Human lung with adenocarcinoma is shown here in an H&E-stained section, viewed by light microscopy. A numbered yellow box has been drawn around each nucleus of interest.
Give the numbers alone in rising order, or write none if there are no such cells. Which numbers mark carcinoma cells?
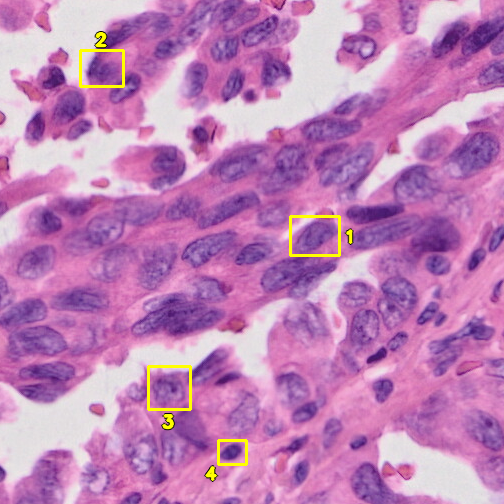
1, 2, 3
